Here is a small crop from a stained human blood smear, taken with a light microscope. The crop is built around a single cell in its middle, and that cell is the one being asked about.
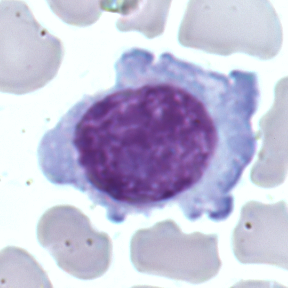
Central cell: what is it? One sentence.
In the crop, the cell of interest at the centre is a plasma cell.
